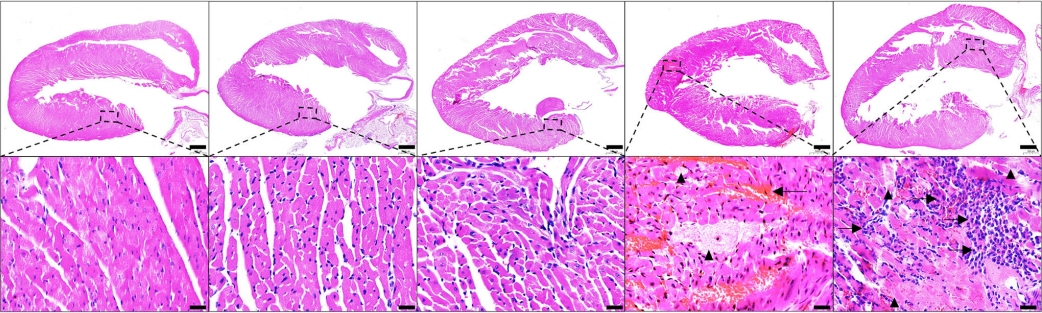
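In the left-hand enlargements the cardiomyocytes are long, pink, parallel fibres with oval, centrally placed purple nuclei, separated by narrow clear clefts. Toward the right the regular parallel arrangement breaks down: fibres look paler and disrupted, and in one field red blood cells lie spilled between them. In the right-most enlargement a dense cluster of small, dark, round nuclei crowds in among the damaged fibres, quite unlike the sparse elongated nuclei of intact muscle.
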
